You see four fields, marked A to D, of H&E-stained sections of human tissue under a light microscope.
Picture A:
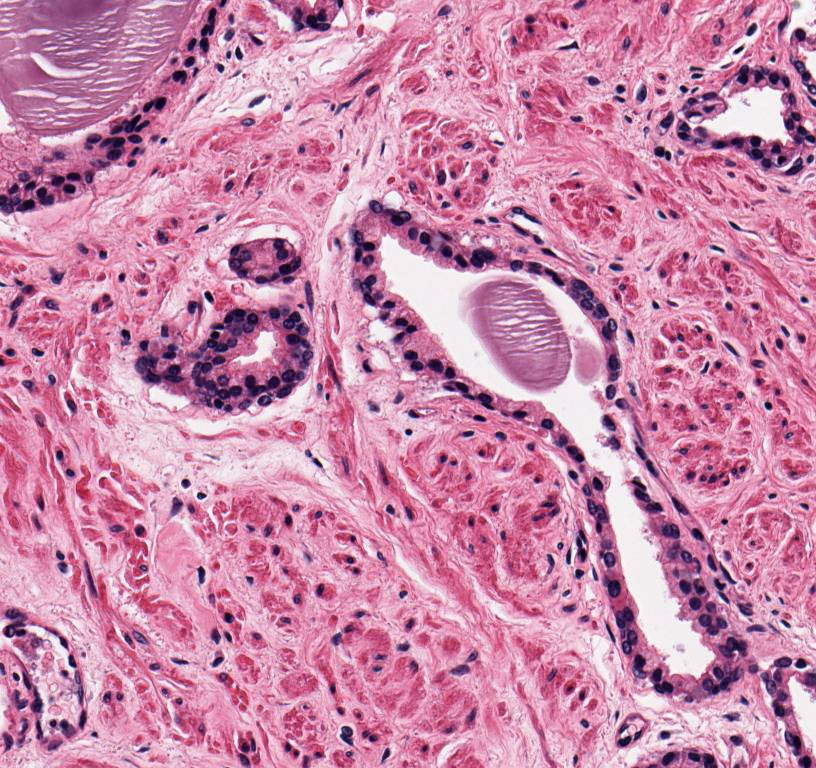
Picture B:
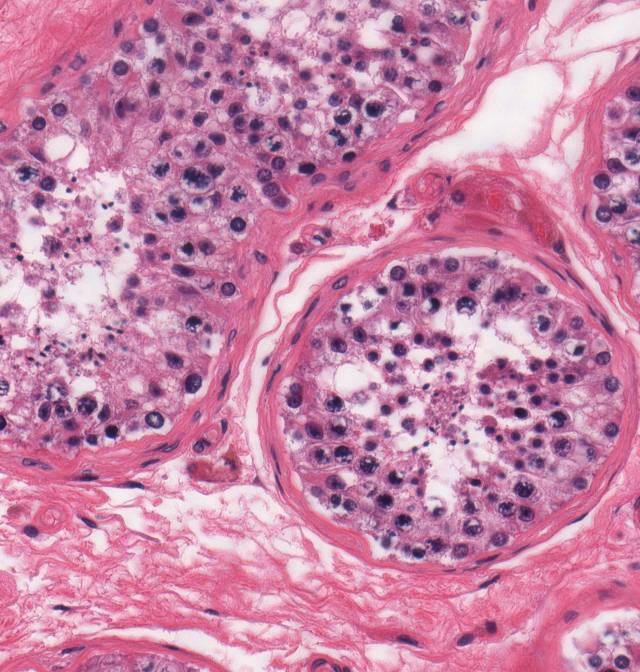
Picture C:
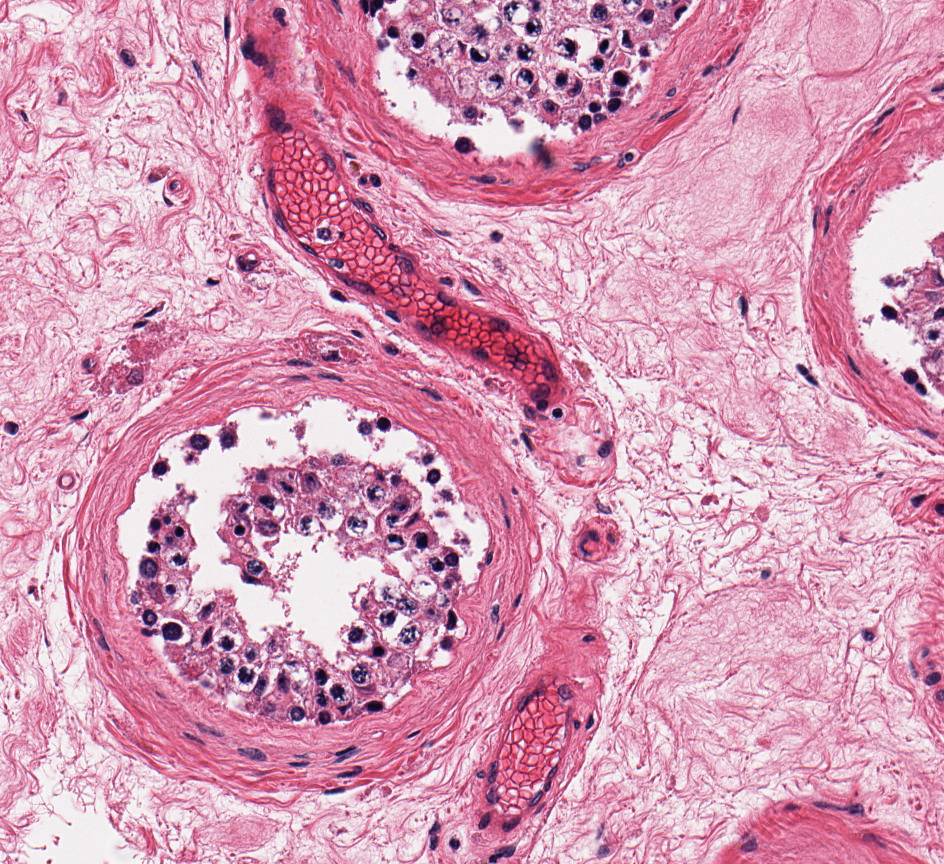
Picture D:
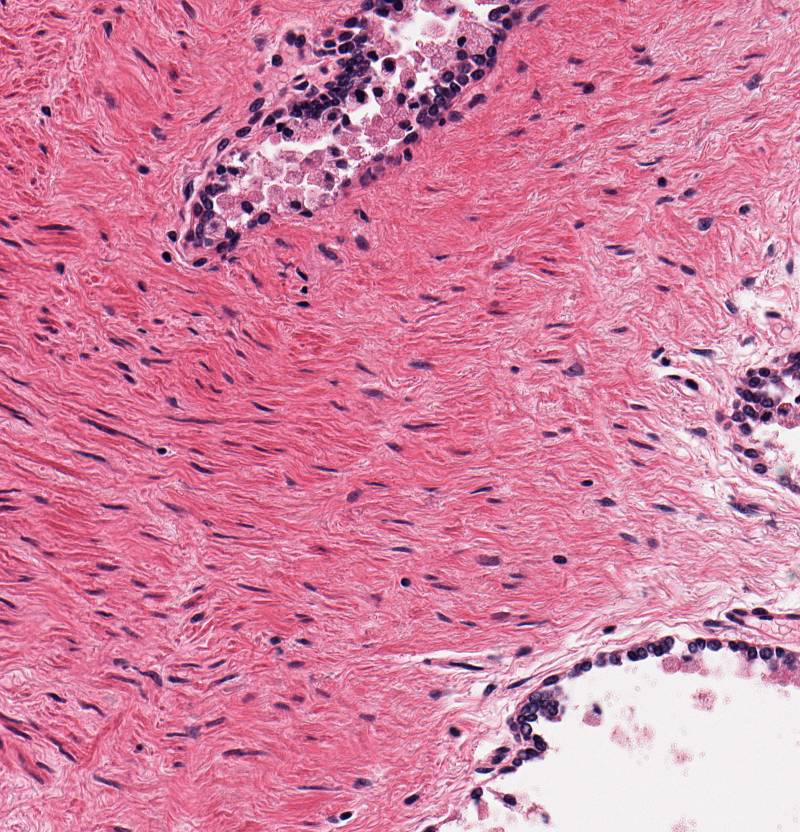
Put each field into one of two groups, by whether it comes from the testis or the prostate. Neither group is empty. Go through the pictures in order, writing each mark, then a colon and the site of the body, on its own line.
A: prostate
B: testis
C: testis
D: prostate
